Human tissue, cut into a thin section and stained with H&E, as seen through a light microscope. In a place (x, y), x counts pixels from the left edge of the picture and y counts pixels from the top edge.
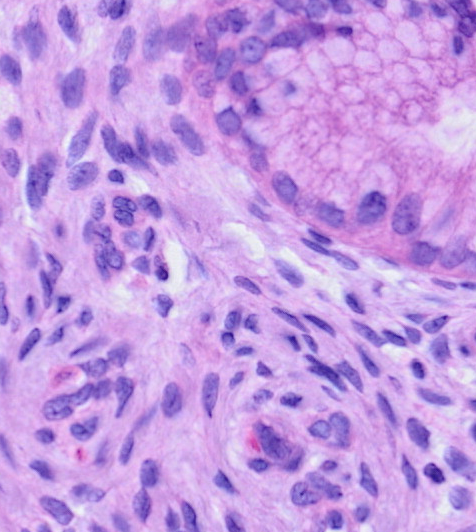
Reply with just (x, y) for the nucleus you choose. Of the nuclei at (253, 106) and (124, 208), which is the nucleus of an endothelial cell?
(124, 208)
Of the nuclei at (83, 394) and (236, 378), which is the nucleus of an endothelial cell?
(83, 394)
